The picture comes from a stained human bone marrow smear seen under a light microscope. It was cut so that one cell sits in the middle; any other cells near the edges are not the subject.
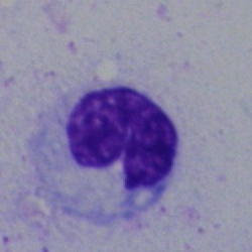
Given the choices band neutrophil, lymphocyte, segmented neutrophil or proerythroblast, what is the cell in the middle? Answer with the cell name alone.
band neutrophil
